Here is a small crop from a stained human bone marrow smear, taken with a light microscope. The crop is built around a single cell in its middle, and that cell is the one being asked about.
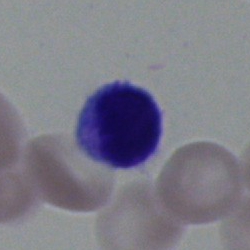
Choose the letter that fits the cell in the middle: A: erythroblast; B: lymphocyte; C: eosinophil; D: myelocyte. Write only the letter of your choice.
B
